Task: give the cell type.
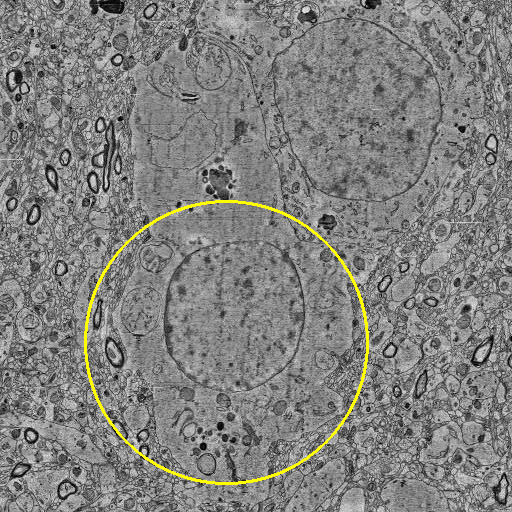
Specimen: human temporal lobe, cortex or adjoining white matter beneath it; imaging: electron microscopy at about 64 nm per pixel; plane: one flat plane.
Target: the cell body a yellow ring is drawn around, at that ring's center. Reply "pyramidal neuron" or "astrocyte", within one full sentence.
In this picture, the cell whose body lies at the ring's center is an astrocyte.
